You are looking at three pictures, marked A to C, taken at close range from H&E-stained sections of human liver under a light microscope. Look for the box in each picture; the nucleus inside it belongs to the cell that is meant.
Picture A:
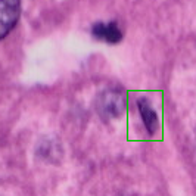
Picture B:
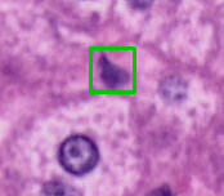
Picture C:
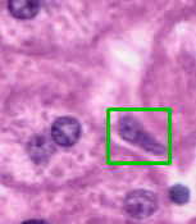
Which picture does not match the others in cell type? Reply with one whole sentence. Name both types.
The different one is picture C; it shows a Kupffer cell, whereas all the others show endothelial cells.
